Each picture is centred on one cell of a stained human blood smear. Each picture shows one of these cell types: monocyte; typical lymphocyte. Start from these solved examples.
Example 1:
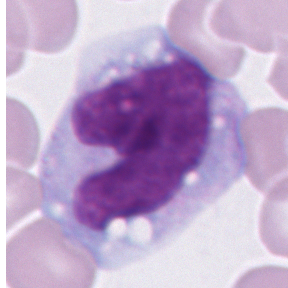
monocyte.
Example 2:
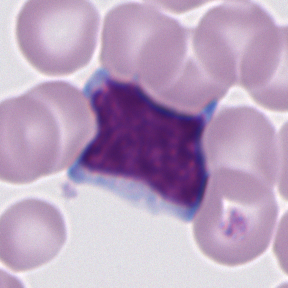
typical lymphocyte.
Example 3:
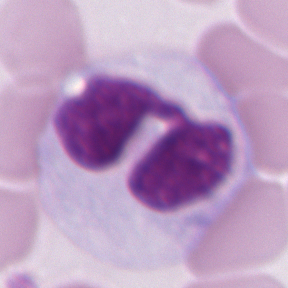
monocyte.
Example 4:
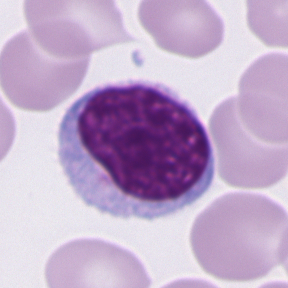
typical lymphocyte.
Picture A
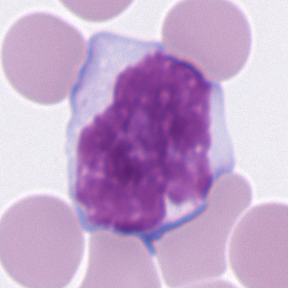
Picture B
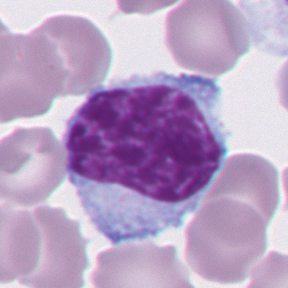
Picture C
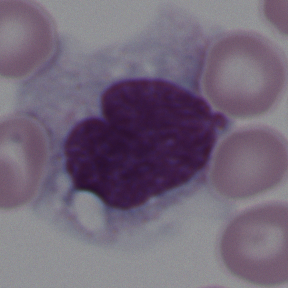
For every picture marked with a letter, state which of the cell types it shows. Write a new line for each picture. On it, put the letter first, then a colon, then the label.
A: monocyte.
B: monocyte.
C: monocyte.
